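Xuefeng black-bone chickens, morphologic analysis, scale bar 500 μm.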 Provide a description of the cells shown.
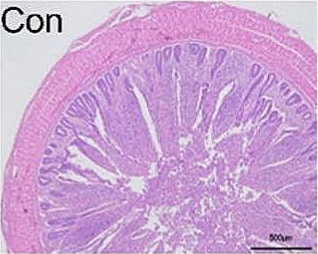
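Long, slender villi radiate from the mucosa toward the central lumen, with the crypt region forming a denser purple band at their bases next to the muscle. The lumen in the middle holds loose, pale debris among the tips of the villi.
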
